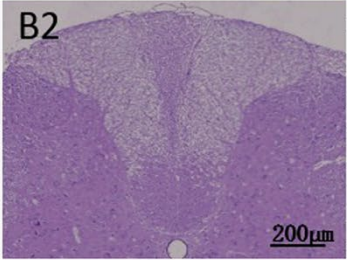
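This is the dorsal part of an intact spinal cord, stained purple. In the middle a pale, finely meshed wedge of white matter fiber tracts runs down between two darker, denser purple areas of gray matter, the dorsal horns, which curve away on either side. At the bottom the small round central canal sits in the darker gray matter. The tissue is compact and evenly textured, with tiny scattered nuclei and a few small vessels, and the borders between pale and dark regions are sharp and orderly.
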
